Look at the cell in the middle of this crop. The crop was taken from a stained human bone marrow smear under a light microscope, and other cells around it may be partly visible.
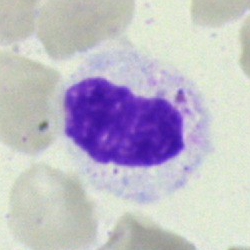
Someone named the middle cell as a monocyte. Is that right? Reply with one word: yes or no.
no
